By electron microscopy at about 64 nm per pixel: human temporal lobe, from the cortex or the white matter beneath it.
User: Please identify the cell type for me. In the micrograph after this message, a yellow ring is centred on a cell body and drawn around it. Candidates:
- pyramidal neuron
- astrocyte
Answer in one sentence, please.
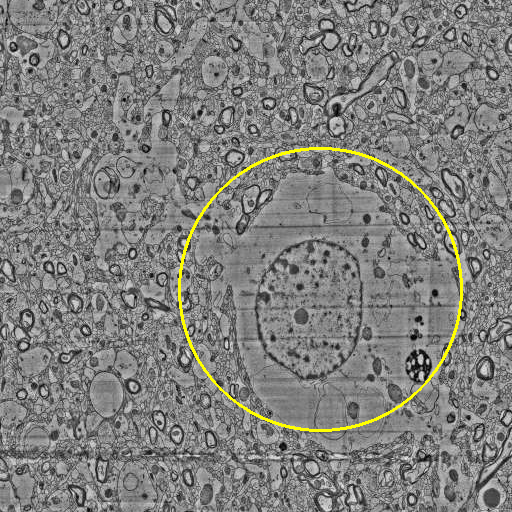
The ring is drawn around the cell body of an astrocyte.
